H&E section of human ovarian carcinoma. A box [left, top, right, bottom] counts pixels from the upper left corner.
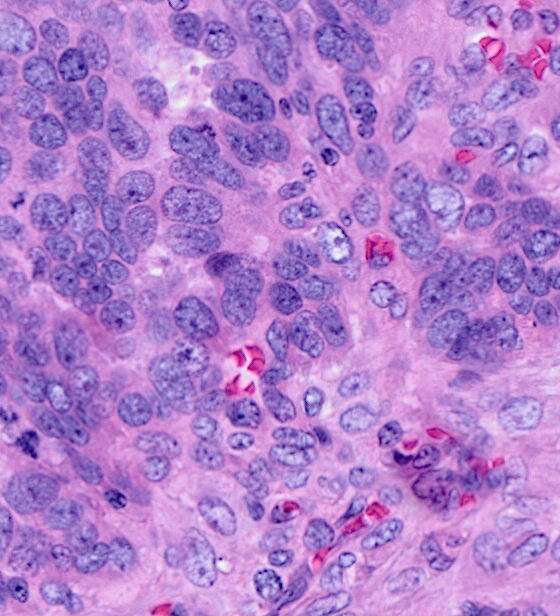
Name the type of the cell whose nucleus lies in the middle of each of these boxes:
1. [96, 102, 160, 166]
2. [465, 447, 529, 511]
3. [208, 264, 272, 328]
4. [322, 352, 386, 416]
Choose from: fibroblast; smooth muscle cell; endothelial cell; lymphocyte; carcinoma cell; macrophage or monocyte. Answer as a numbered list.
1. carcinoma cell
2. endothelial cell
3. carcinoma cell
4. fibroblast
